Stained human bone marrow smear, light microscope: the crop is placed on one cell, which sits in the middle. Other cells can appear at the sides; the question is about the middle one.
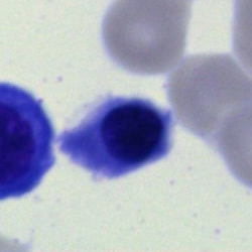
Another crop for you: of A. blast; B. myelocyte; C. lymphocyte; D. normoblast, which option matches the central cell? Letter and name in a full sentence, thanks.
That the central cell is a normoblast makes option D correct.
